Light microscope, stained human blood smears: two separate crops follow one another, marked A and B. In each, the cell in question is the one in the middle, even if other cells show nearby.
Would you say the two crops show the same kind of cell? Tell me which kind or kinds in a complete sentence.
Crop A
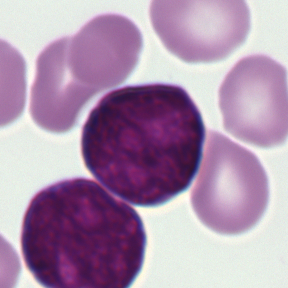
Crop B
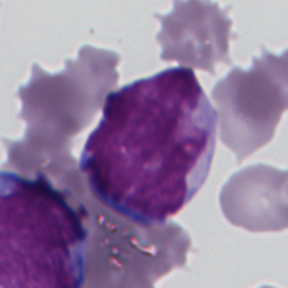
Yes, both crops show blasts, with no exception.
